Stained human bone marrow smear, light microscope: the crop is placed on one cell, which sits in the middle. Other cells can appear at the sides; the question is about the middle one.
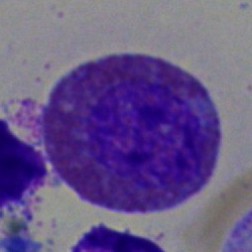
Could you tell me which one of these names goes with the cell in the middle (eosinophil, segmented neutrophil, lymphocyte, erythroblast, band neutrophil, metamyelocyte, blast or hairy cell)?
eosinophil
